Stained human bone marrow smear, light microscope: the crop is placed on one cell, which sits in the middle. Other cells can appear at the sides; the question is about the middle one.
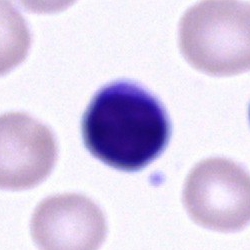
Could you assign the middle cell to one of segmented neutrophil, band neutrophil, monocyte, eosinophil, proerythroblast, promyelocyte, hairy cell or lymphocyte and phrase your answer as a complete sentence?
The cell nearest the centre of this crop is a lymphocyte.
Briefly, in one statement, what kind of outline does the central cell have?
The edge of the cell is unbroken and smooth, bearing no projections.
